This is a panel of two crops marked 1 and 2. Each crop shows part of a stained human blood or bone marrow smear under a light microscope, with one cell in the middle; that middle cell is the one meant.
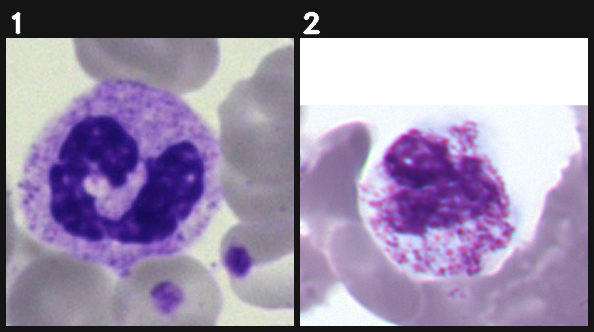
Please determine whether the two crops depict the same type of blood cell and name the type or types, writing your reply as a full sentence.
Yes, they do, both crops show segmented neutrophils.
